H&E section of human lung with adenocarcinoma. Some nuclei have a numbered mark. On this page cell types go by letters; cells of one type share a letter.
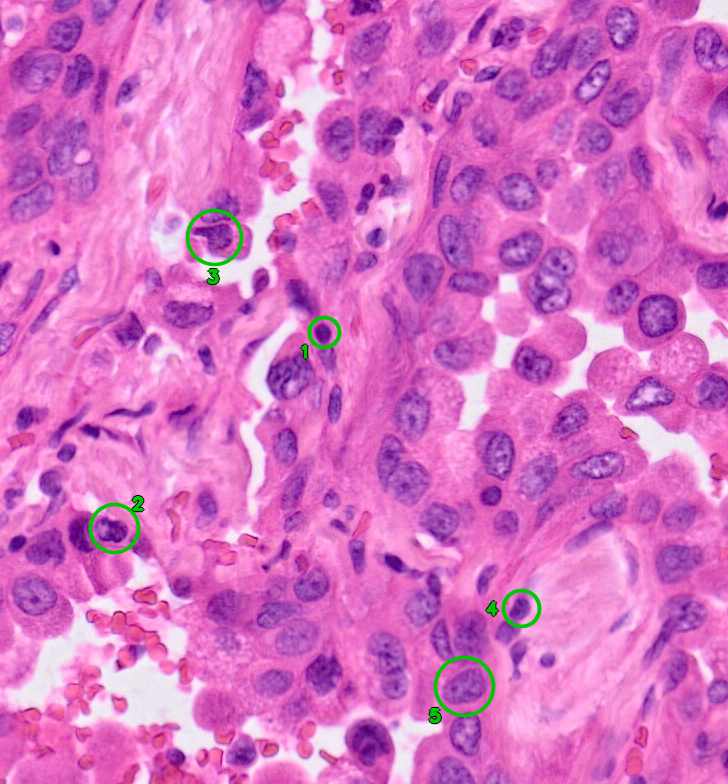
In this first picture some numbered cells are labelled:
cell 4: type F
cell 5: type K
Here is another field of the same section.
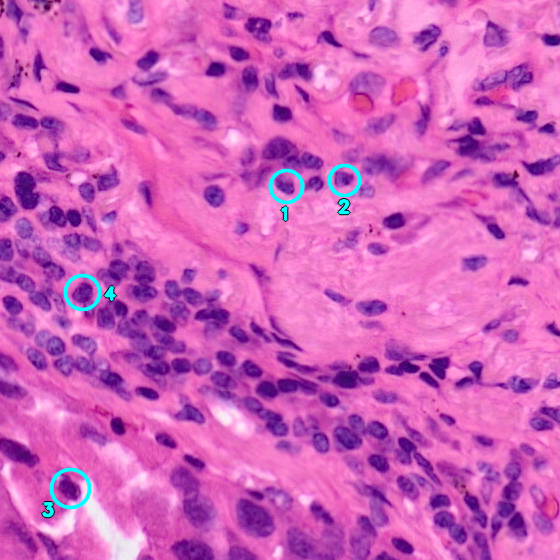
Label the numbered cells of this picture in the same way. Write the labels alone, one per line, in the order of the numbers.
type F
type F
type K
type F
